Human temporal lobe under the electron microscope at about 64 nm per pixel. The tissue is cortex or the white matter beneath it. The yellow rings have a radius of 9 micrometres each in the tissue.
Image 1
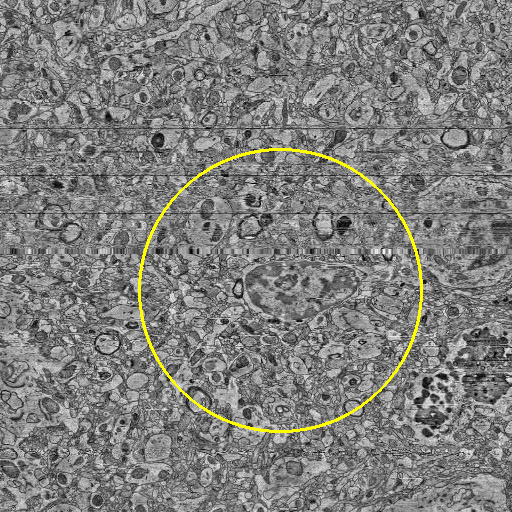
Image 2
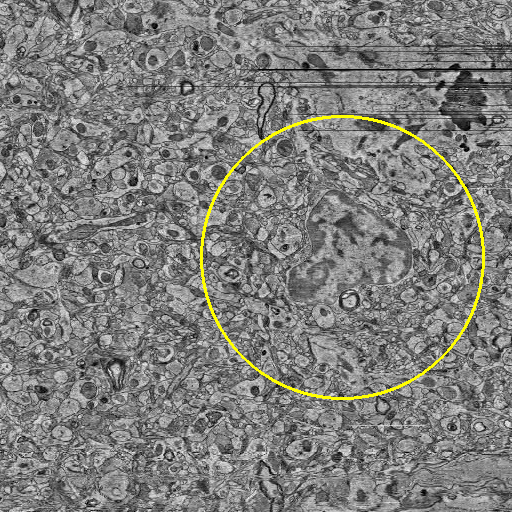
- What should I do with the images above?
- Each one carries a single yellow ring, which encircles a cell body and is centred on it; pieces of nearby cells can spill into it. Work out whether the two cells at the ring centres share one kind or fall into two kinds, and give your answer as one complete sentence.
The ring-centre cells of Image 1 and Image 2 share one kind.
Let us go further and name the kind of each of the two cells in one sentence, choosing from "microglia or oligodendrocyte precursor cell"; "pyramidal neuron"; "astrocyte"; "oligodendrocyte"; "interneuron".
Each one of the two ringed cells is a microglial cell or oligodendrocyte precursor cell.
